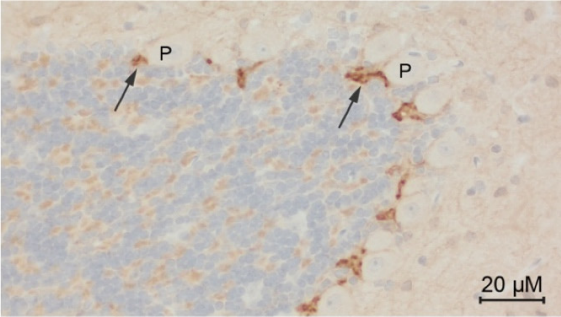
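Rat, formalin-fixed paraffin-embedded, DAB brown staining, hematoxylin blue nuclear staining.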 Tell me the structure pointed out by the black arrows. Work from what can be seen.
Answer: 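Dark brown, tuft-like deposits lie beneath large pale cell bodies. These deposits lie at the border of a layer of densely packed small blue nuclei. That points to this answer: basket cell terminal pinceaux.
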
